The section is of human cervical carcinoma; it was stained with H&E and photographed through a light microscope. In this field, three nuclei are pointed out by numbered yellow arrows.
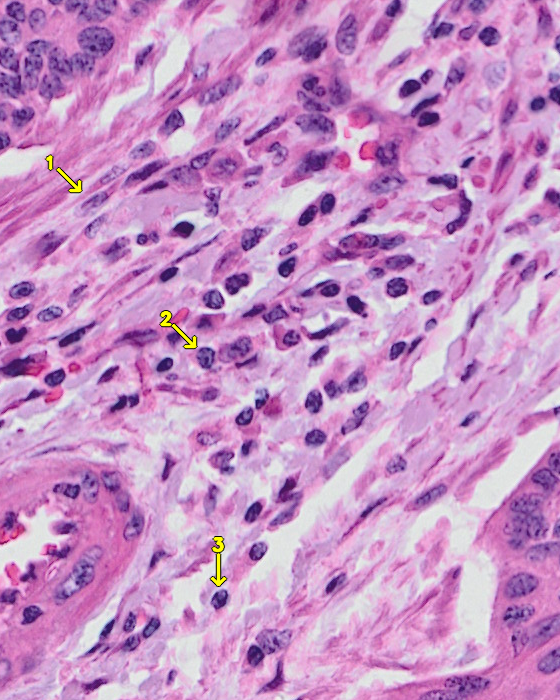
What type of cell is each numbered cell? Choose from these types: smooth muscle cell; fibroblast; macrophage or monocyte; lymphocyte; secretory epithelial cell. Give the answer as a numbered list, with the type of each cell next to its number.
1. fibroblast
2. lymphocyte
3. lymphocyte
